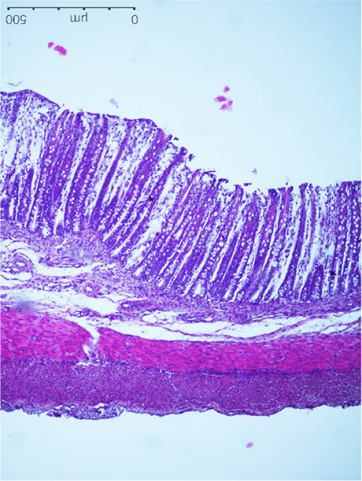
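This section of the colon wall shows a mucosa built of long, straight, tubular crypts lying parallel to one another and stained deep purple. The crypts run from a flat luminal surface, without villi, down to a loose, pale submucosa.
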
